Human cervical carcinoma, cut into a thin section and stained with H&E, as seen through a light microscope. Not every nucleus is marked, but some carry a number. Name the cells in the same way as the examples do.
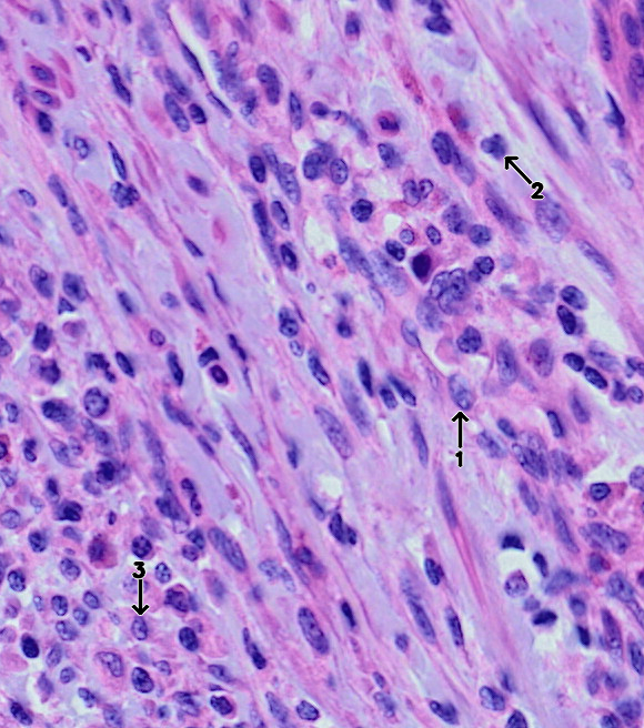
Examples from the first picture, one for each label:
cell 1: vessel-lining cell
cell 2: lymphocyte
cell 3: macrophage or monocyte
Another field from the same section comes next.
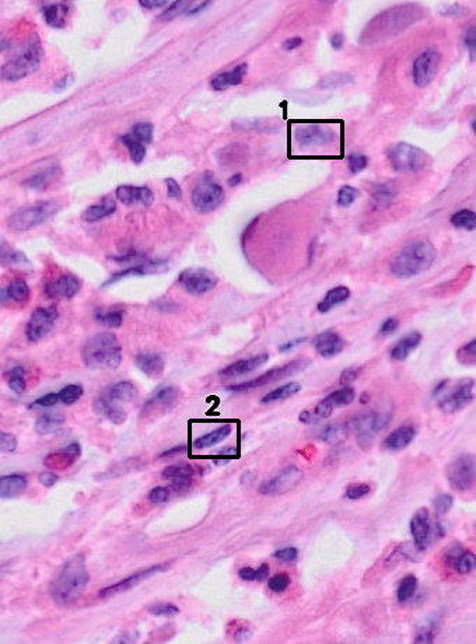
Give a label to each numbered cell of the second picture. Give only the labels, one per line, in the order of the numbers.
macrophage or monocyte
lymphocyte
